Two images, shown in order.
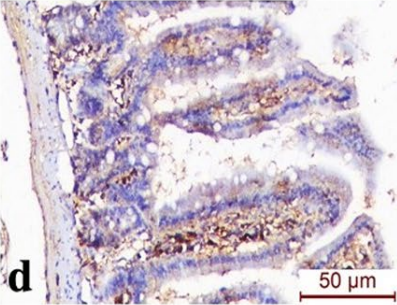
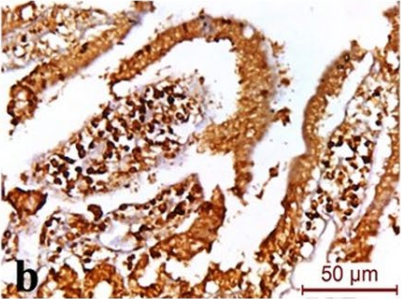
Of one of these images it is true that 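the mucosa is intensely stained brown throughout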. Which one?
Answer: the second image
